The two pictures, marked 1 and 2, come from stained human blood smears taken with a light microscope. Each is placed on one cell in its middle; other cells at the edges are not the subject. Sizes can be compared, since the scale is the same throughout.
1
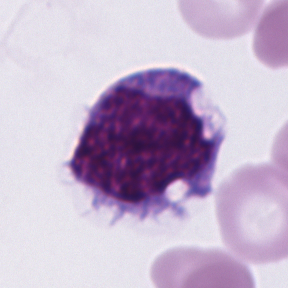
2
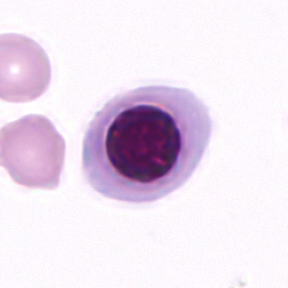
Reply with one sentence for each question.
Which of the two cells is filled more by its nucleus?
The nucleus fills more of the cell in crop 1 than in crop 2.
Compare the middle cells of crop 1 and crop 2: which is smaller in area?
It is the cell in crop 2; the cell in crop 1 has about 1.5 times its area.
